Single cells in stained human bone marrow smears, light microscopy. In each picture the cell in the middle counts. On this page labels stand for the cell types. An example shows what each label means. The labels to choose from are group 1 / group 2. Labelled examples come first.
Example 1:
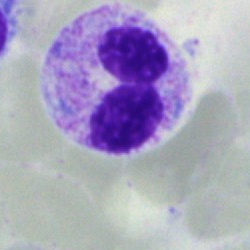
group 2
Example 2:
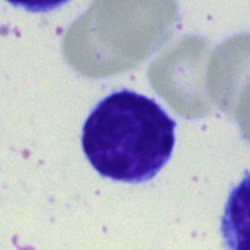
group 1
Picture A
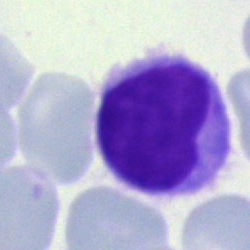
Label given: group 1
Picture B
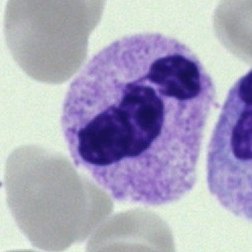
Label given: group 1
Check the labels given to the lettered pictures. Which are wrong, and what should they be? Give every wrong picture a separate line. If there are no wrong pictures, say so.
Wrong: B (group 1); correct: group 2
